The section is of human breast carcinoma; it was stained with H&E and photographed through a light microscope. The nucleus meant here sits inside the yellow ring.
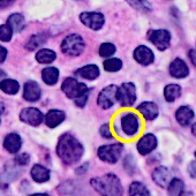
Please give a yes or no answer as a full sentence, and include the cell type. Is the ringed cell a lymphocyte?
Yes, regarding cell type, the ringed cell is a lymphocyte.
